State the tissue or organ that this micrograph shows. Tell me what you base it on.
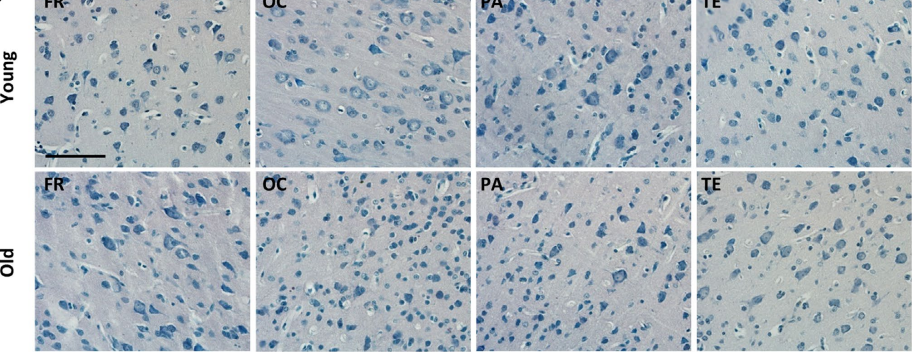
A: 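Cerebral cortex. Many separate cell bodies stained blue lie scattered in a pale, finely fibrous background. Larger cells with angular or triangular bodies and pale round nuclei lie among many small dark nuclei. No layered epithelium or lumen is present, only cells spread through neural tissue.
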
